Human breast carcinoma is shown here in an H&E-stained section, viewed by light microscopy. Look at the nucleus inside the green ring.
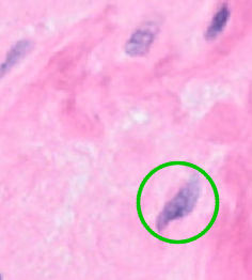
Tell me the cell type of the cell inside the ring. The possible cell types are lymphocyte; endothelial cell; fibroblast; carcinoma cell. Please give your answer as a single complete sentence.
The cell type of the cell inside the ring is that of a fibroblast.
